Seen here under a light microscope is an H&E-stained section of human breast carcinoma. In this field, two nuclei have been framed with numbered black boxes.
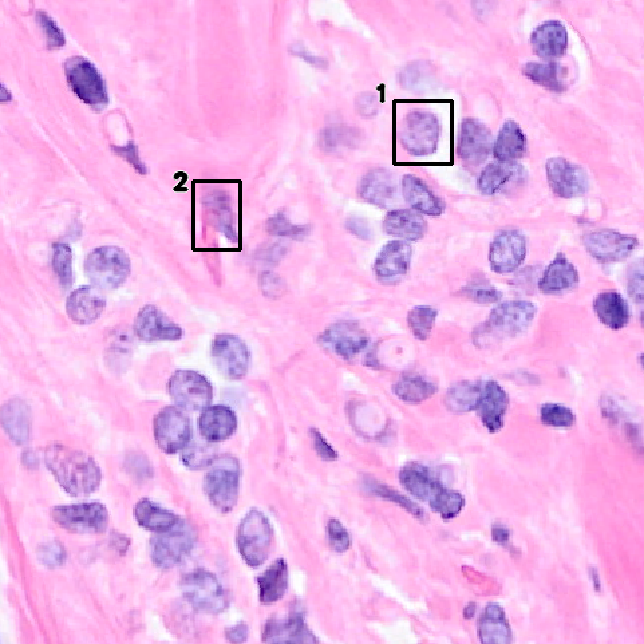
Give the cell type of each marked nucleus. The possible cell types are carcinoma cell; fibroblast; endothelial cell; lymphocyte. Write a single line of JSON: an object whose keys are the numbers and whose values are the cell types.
{"1": "carcinoma cell", "2": "endothelial cell"}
